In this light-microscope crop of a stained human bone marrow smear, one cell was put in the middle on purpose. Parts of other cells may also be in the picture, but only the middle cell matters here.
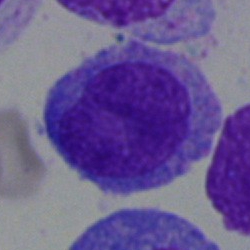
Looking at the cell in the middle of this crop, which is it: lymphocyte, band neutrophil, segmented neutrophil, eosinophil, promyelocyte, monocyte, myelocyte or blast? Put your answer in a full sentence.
Located at the centre of the crop is a blast.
